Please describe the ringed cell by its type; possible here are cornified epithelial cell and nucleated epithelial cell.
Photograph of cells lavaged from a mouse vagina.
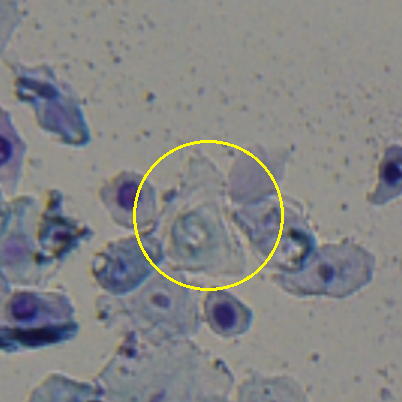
The yellow ring marks a cornified epithelial cell.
